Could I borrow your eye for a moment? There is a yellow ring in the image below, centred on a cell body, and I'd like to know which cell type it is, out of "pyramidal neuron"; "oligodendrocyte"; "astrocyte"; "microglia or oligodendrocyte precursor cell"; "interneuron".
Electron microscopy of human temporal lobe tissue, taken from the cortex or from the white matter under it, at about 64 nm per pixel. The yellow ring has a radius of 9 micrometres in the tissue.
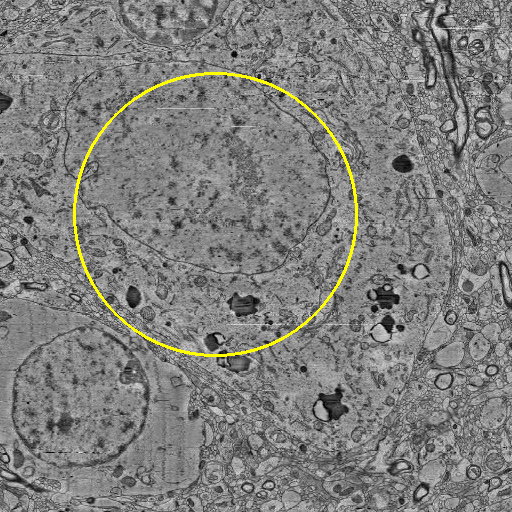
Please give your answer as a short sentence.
The cell body at the centre is that of a pyramidal neuron.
